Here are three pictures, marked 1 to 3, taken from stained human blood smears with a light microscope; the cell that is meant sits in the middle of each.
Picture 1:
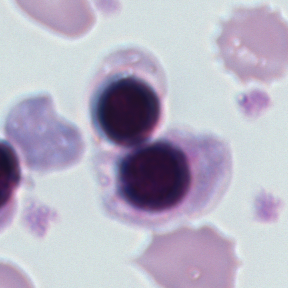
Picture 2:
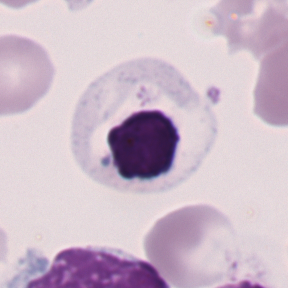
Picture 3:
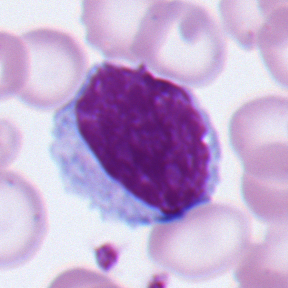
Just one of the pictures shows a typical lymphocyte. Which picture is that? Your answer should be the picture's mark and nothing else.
3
